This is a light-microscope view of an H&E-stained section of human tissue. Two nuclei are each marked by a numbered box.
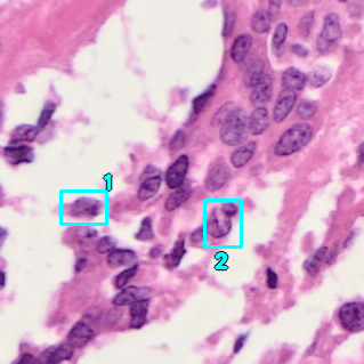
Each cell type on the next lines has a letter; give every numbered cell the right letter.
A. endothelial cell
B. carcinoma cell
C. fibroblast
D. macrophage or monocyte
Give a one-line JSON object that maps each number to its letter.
{"1": "B", "2": "D"}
